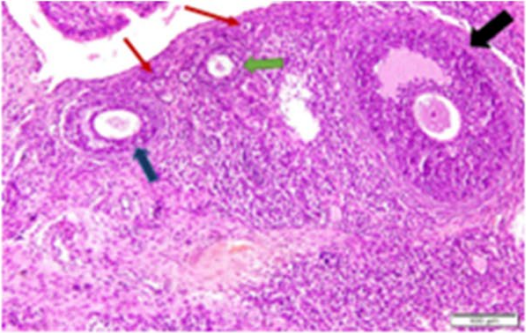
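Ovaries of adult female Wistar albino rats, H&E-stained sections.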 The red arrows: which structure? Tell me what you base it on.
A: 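Primordial follicles. The red arrows point to the outer edge of the cortex beneath the surface. Small round structures lie there in the stroma, much smaller than the follicles nearby.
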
